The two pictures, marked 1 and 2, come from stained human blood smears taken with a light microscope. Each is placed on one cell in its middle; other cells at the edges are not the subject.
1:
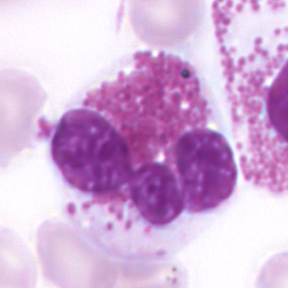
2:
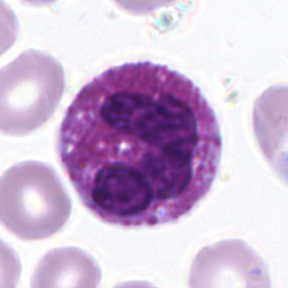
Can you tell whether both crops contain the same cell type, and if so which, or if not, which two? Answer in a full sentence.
Yes, it is eosinophils that occupy the middle of both crops.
